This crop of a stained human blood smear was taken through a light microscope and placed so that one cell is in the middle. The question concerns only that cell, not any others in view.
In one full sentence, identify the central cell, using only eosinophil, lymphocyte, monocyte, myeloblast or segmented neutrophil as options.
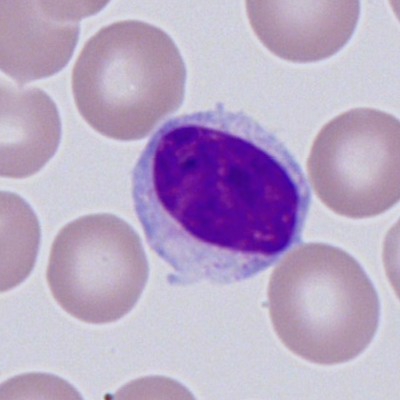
Answering briefly, the cell in the middle is a lymphocyte.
